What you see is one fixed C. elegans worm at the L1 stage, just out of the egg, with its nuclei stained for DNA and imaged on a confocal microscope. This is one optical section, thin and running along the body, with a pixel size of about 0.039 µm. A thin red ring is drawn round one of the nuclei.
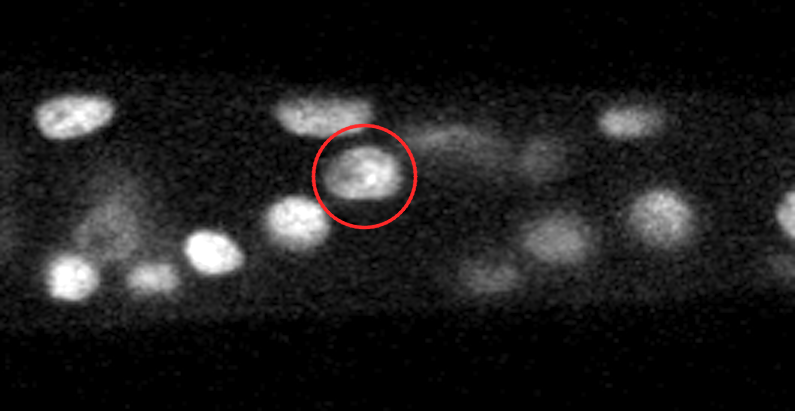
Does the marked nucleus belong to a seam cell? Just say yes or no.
yes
